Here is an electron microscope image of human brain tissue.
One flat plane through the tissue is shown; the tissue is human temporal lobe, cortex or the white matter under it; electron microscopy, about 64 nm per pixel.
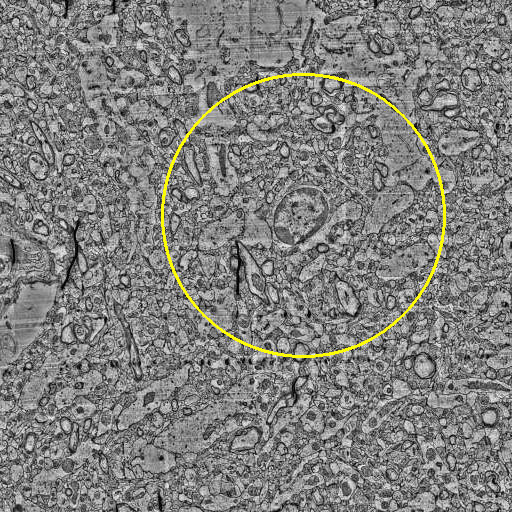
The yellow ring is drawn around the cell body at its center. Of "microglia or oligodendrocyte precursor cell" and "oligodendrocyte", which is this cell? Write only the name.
microglia or oligodendrocyte precursor cell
